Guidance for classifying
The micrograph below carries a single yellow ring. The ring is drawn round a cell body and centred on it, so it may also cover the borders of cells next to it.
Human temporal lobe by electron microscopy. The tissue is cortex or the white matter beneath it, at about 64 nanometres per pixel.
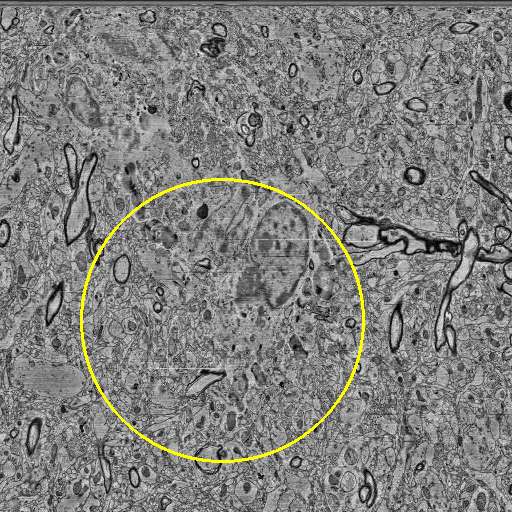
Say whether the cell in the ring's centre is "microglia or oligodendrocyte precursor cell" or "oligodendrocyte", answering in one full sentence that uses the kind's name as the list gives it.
Within the yellow ring, a microglial cell or oligodendrocyte precursor cell is the cell whose body sits at the centre.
